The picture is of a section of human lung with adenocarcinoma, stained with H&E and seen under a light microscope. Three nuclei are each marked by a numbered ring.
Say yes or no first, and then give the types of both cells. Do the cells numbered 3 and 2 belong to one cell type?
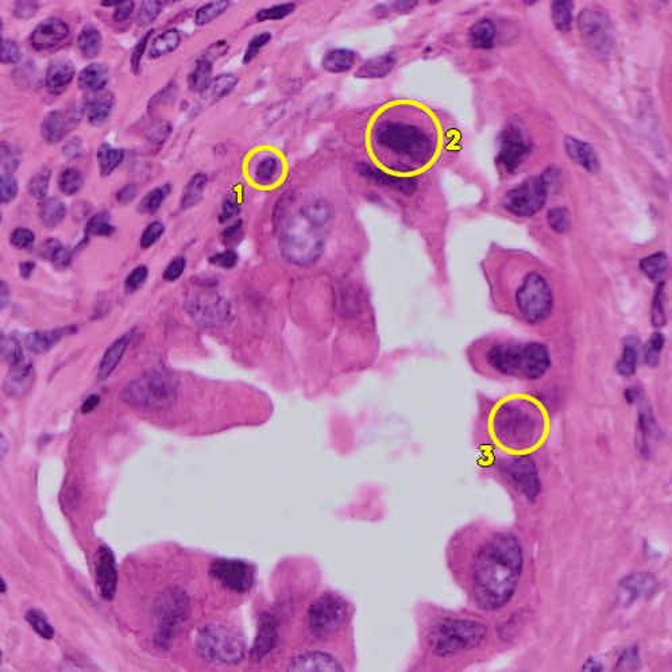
Yes, of the numbered cells, 3 and 2 are both carcinoma cells.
